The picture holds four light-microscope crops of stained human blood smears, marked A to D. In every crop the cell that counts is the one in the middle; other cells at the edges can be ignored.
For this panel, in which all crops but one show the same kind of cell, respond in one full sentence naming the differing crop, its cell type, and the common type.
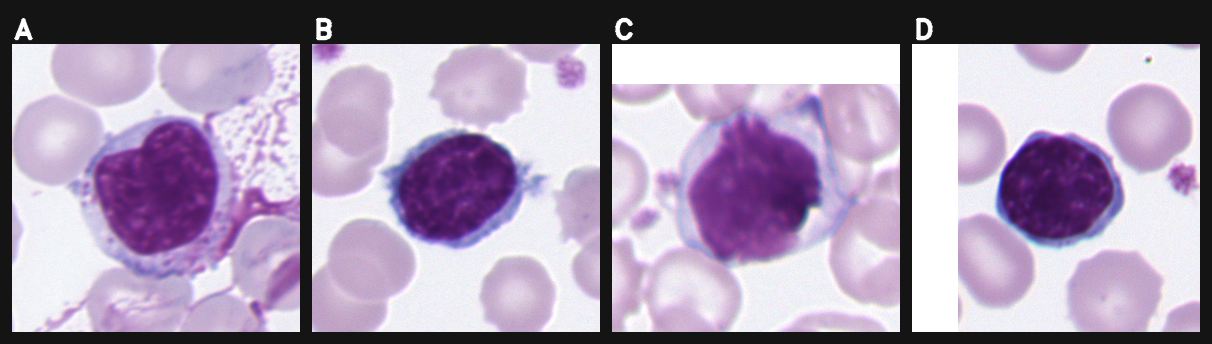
Just crop A is a large granular lymphocyte; all the other crops show typical lymphocytes.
